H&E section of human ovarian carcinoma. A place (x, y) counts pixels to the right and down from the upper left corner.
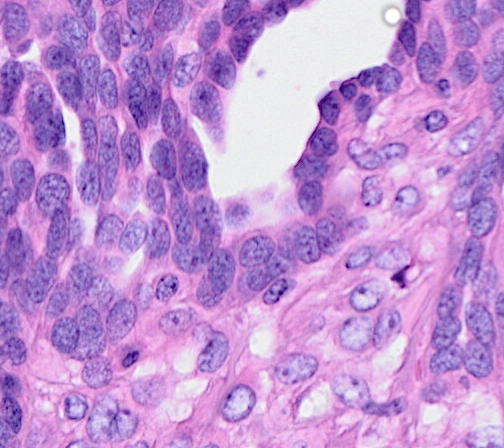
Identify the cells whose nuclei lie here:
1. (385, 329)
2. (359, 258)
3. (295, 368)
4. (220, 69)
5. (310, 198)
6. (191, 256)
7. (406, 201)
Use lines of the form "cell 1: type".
cell 1: fibroblast
cell 2: fibroblast
cell 3: fibroblast
cell 4: carcinoma cell
cell 5: carcinoma cell
cell 6: carcinoma cell
cell 7: fibroblast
